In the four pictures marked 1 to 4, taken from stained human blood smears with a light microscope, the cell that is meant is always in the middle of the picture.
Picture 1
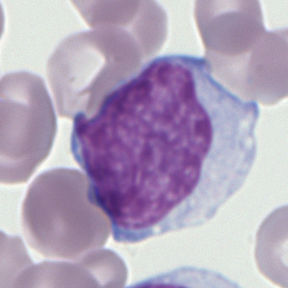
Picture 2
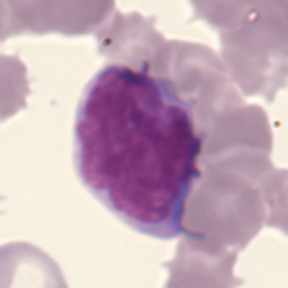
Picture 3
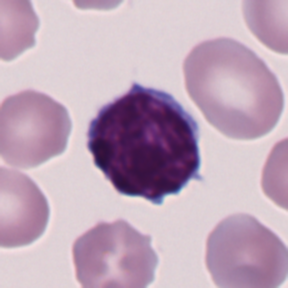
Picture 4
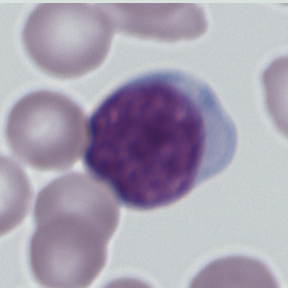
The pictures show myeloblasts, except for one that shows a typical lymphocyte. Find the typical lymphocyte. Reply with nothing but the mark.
3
